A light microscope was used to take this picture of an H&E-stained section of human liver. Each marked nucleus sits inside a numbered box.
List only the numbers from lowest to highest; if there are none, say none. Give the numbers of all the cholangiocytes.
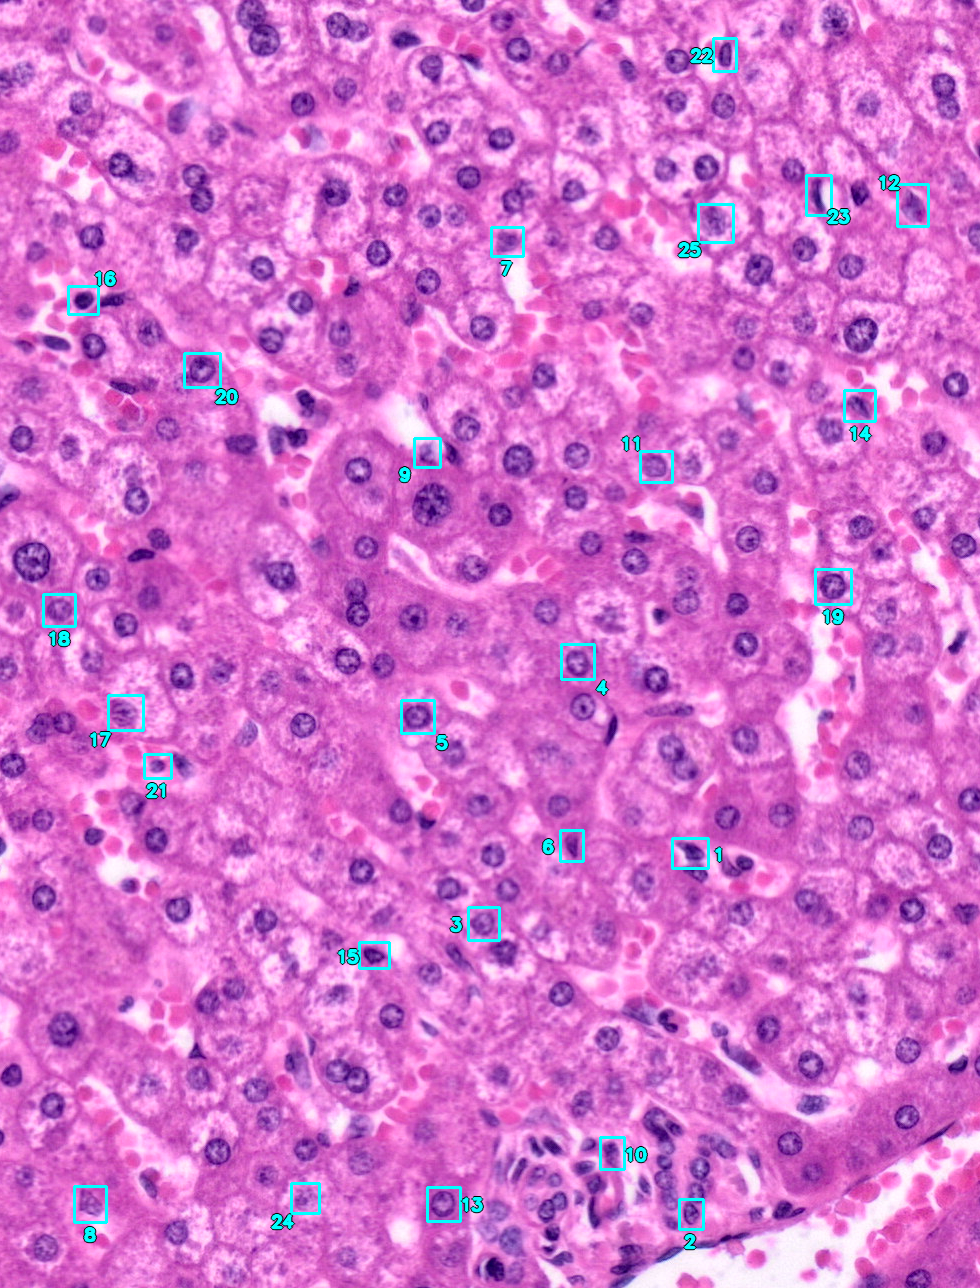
2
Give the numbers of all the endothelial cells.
7, 8, 9, 12, 14, 23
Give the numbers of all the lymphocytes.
1, 16, 21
